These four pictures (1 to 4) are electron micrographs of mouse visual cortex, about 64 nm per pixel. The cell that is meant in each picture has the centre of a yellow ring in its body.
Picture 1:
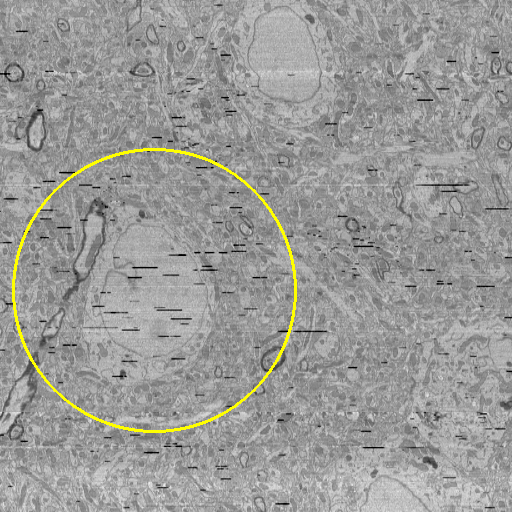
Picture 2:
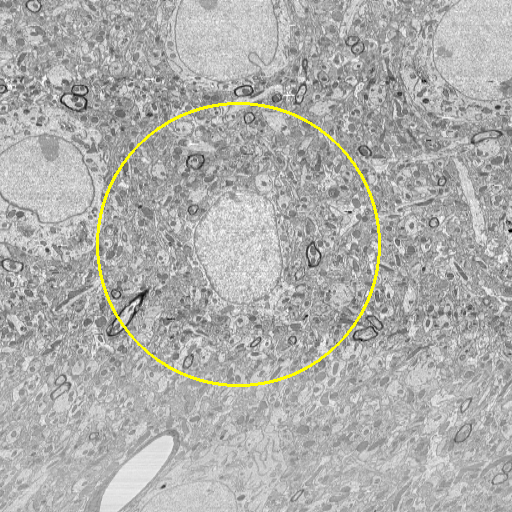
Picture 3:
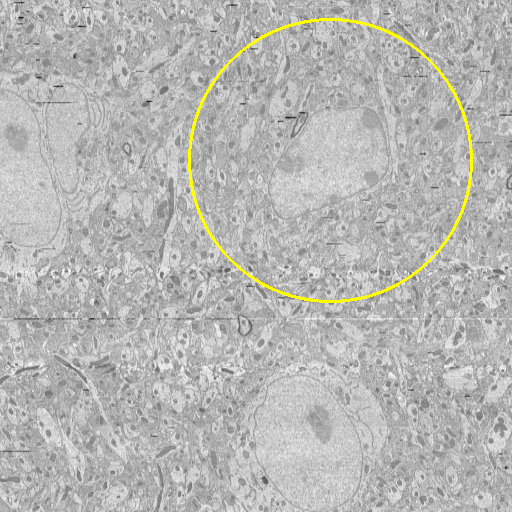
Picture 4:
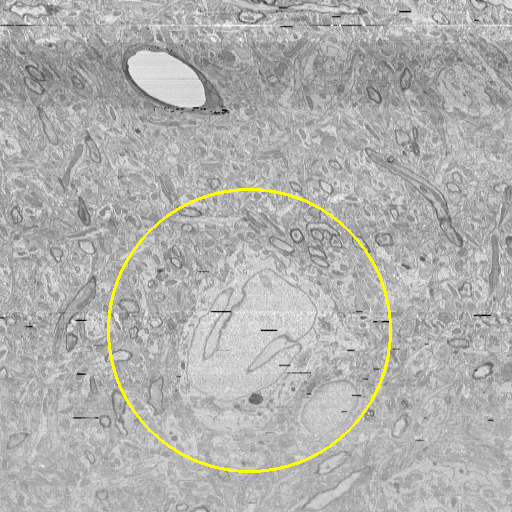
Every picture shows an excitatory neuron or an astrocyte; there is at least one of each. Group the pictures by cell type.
Pictures 1 and 4 show excitatory neurons, and pictures 2 and 3 show astrocytes.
